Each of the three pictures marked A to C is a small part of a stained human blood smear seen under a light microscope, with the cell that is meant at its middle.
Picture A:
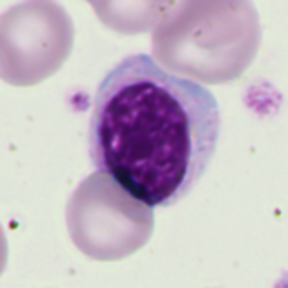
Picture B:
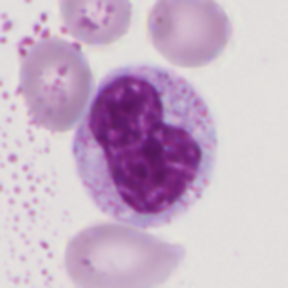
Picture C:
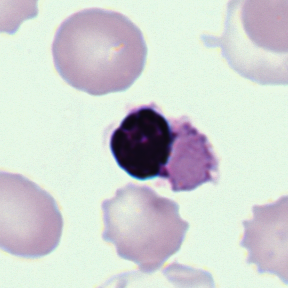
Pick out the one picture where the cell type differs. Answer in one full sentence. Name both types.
The others show metamyelocytes, but picture C shows a normoblast.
